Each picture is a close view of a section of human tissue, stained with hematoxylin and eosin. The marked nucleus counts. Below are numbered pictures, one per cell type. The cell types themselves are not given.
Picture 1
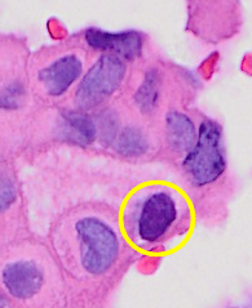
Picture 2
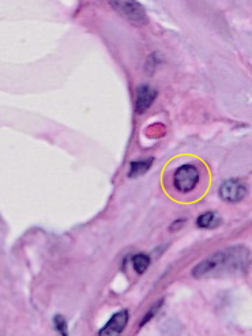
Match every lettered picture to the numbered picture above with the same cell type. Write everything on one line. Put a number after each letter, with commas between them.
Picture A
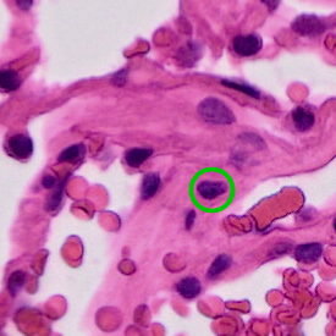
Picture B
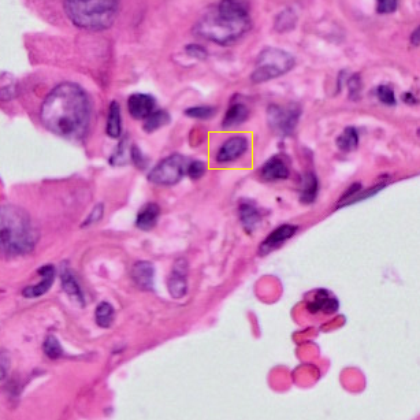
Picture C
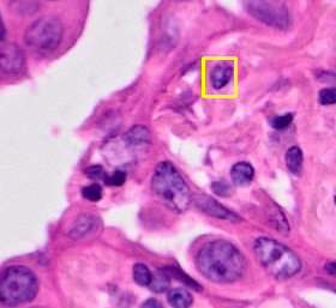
A 2, B 2, C 2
